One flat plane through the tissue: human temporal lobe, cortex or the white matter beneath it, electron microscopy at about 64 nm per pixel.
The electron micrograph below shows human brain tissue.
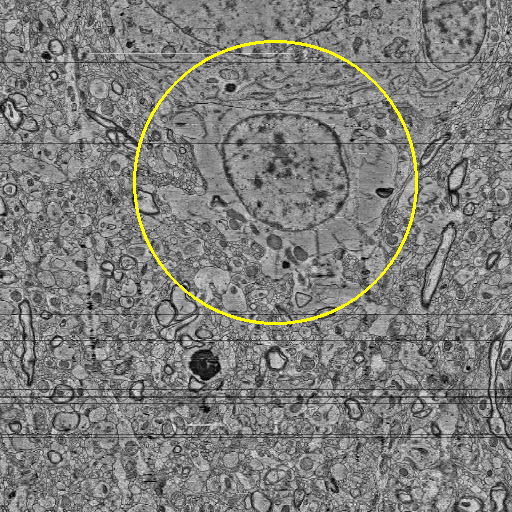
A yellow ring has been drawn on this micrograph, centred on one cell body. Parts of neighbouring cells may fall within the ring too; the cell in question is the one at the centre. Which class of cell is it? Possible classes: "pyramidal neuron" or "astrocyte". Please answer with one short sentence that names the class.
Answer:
In the centre of the ring sits an astrocyte.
